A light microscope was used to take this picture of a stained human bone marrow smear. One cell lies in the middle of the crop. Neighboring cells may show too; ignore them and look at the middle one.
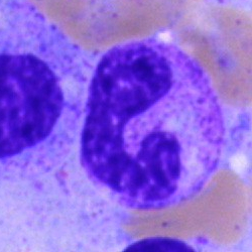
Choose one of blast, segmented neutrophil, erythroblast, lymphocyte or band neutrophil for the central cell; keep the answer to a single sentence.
Whatever else lies nearby, the middle cell is a band neutrophil.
